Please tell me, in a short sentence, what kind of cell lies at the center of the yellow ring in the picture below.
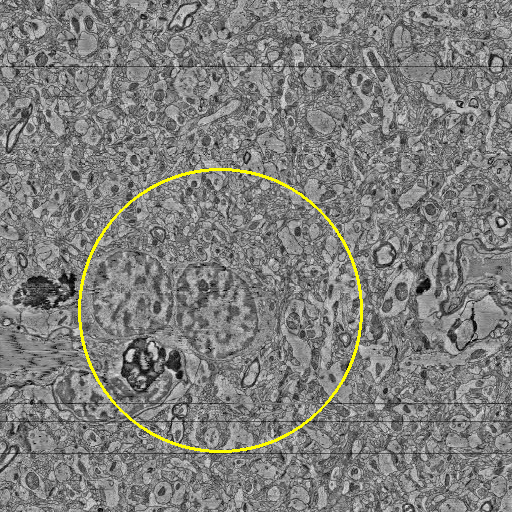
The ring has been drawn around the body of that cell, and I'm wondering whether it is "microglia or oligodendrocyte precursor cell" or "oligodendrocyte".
The cell at the center of the ring is an oligodendrocyte.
